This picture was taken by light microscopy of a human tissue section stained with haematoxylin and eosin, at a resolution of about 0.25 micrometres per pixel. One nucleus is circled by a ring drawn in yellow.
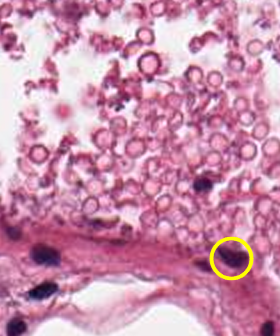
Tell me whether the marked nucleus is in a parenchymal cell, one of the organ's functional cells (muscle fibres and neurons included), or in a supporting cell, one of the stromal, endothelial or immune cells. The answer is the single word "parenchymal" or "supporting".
supporting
